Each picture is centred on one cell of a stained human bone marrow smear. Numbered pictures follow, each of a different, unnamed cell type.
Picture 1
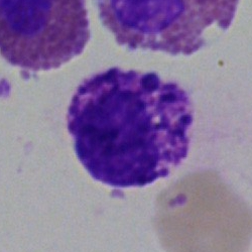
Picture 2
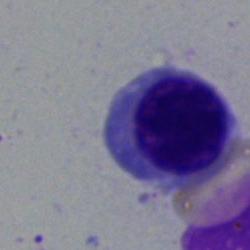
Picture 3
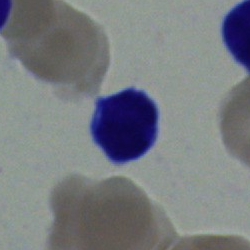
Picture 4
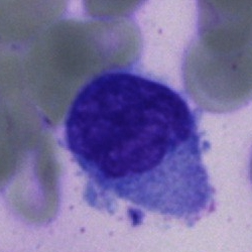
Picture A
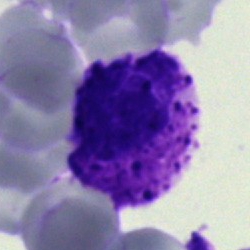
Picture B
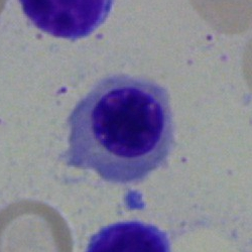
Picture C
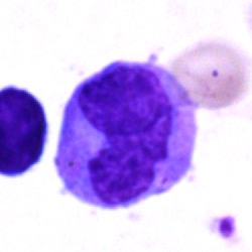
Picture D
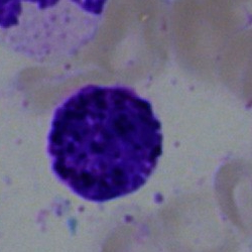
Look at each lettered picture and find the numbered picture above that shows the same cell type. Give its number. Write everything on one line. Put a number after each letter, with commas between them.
A 1, B 2, C 4, D 1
